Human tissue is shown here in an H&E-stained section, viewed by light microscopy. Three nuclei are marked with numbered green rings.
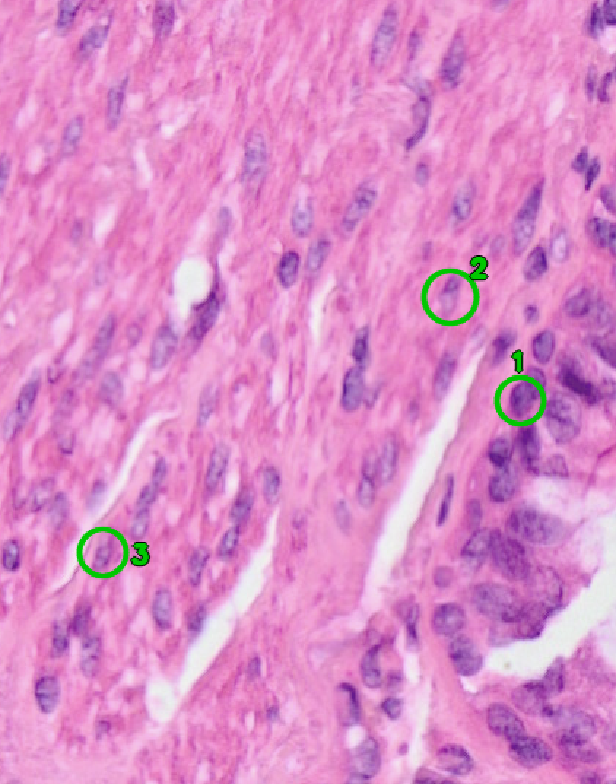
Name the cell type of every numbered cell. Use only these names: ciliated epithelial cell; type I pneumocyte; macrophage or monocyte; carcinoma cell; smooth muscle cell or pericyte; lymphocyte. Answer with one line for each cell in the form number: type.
1: ciliated epithelial cell
2: smooth muscle cell or pericyte
3: smooth muscle cell or pericyte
